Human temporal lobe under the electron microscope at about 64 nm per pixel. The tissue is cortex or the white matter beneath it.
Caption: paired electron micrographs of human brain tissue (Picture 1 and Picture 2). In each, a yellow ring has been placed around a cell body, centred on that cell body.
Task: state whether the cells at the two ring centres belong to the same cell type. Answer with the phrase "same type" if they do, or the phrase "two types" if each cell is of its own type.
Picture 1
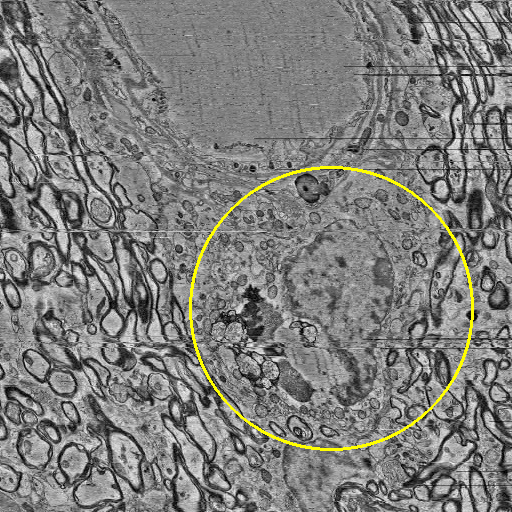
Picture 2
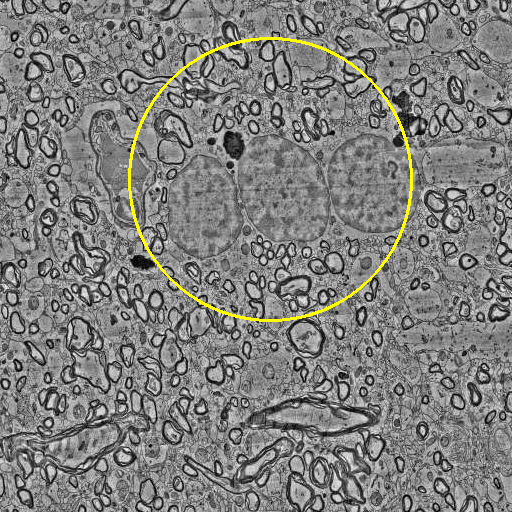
two types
